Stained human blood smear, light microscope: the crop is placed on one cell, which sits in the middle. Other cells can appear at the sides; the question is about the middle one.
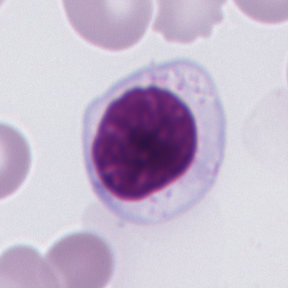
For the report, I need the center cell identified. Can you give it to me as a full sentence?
The cell around which this crop is centred is a large granular lymphocyte.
